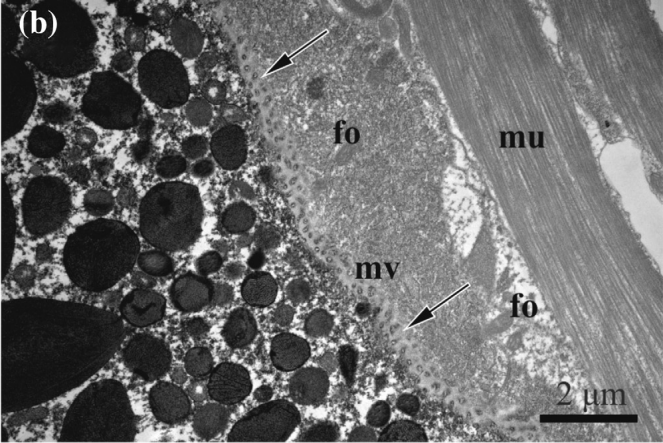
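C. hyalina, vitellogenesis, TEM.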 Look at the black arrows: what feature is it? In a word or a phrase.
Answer: Fertilization membrane.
